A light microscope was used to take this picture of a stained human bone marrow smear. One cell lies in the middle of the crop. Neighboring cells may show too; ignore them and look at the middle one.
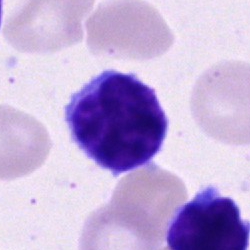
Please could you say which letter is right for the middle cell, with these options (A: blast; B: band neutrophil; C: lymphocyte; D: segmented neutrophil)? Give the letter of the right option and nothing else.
C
